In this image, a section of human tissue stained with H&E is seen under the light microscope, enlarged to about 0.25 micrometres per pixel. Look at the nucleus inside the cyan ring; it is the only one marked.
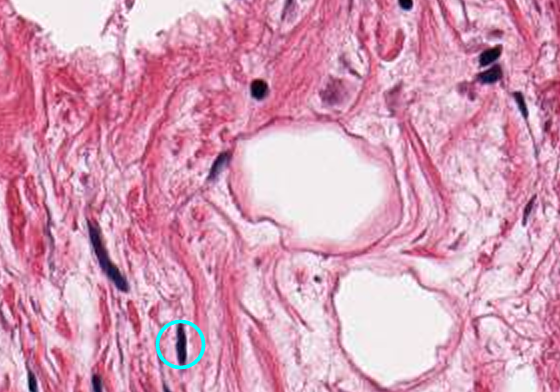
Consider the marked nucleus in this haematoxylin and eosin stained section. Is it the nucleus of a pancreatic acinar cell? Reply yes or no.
no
